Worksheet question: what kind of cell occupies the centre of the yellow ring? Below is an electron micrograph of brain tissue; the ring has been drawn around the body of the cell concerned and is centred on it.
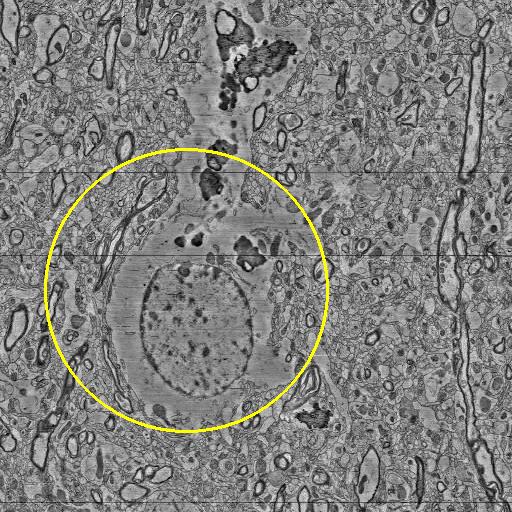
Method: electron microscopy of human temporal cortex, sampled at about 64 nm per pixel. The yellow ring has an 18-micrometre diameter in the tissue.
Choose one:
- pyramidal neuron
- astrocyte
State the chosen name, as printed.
astrocyte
